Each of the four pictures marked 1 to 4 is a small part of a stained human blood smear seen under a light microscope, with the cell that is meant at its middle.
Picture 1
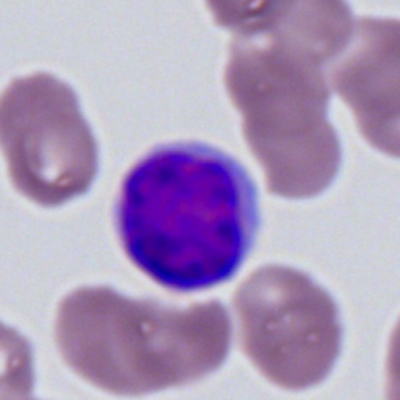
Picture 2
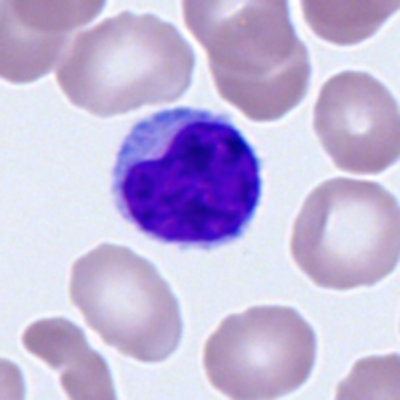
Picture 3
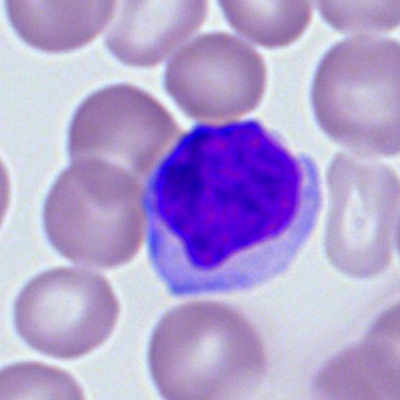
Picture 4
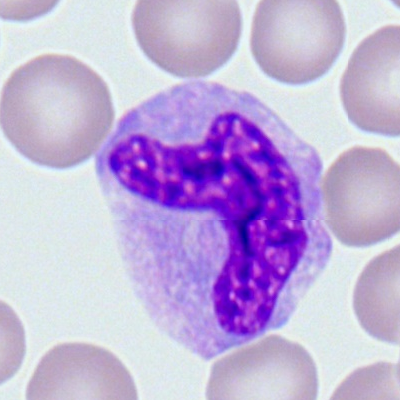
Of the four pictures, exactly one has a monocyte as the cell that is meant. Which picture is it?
4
